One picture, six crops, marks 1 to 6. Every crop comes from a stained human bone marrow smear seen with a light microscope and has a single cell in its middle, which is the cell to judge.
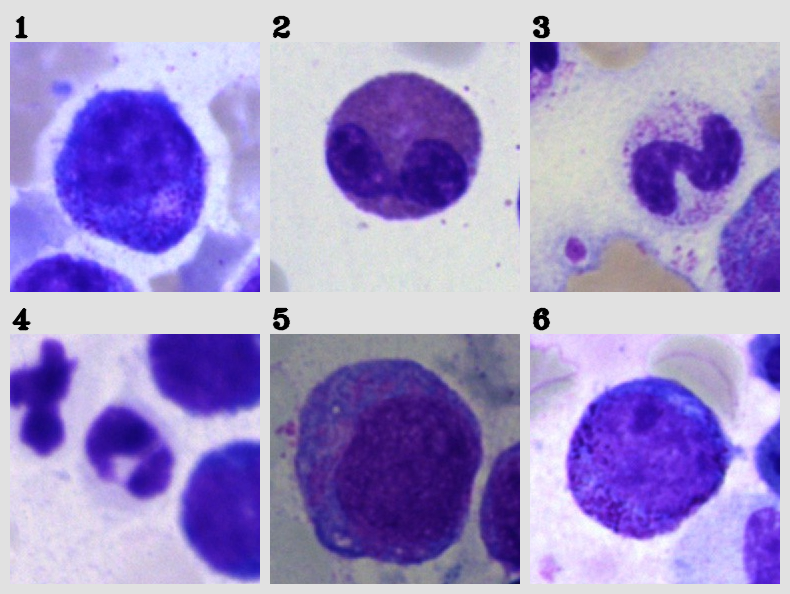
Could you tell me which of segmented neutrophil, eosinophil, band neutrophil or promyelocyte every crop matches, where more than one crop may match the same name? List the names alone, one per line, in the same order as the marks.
promyelocyte
eosinophil
band neutrophil
segmented neutrophil
promyelocyte
promyelocyte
